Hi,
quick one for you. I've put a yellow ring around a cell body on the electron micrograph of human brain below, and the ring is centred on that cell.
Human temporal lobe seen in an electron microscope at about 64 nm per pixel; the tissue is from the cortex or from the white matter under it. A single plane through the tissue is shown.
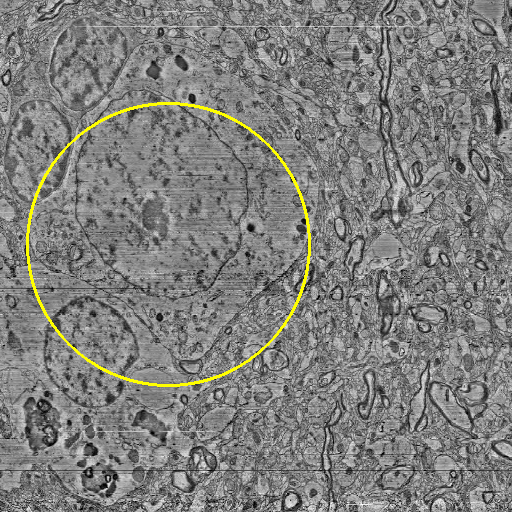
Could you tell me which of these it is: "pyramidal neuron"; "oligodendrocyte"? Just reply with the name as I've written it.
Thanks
pyramidal neuron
